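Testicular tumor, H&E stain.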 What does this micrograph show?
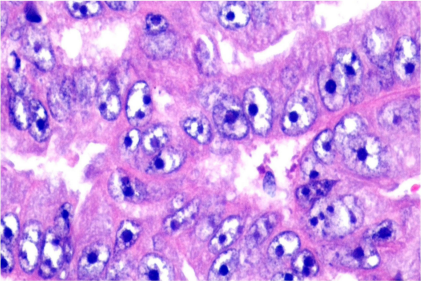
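The nuclei are enlarged, round to oval, with vesicular clear chromatin and a single large dark purple nucleolus in many of them. Cell borders are indistinct and the cells crowd together in sheets and fronds.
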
